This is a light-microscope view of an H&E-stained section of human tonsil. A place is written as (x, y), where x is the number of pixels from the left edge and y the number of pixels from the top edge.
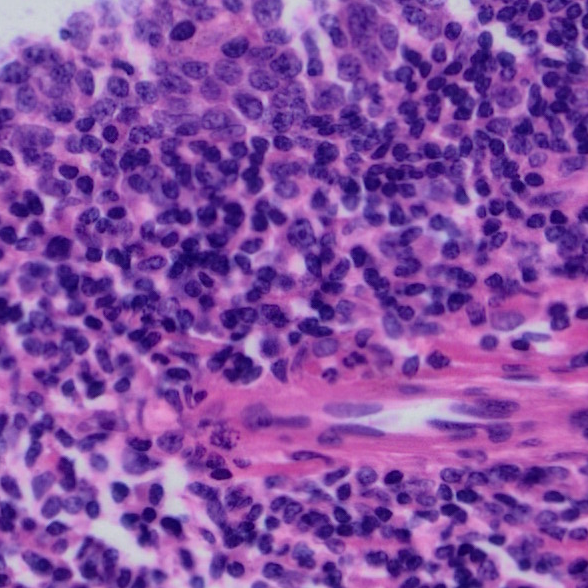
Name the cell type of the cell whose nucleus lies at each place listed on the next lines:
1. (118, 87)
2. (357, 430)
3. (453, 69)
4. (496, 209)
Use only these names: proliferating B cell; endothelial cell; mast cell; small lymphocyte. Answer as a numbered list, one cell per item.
1. proliferating B cell
2. endothelial cell
3. small lymphocyte
4. small lymphocyte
